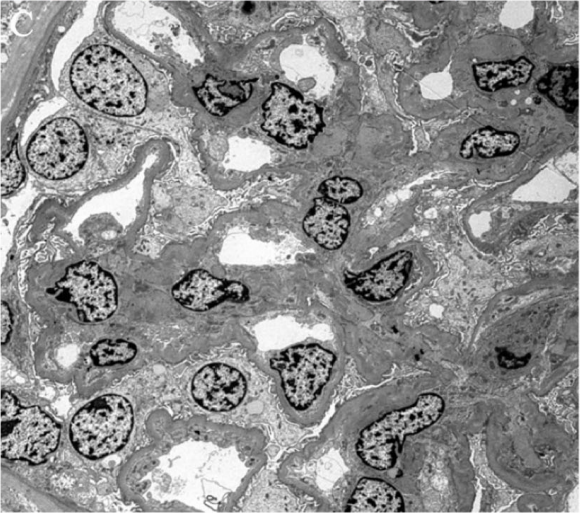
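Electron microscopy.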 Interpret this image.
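This electron micrograph shows glomerular capillary loops with the glomerular basement membrane appearing as broad grey bands of uneven width. Pale, open capillary lumens lie within the loops.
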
